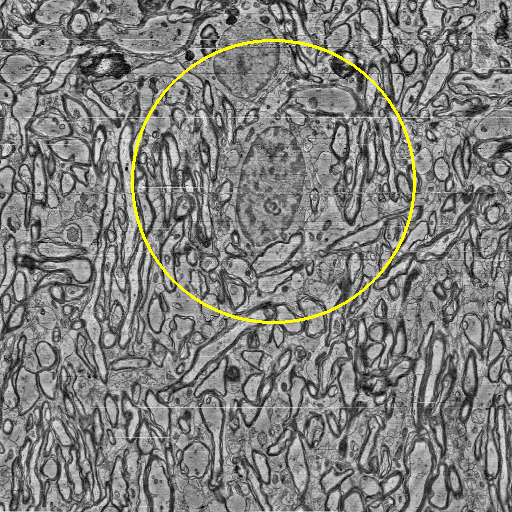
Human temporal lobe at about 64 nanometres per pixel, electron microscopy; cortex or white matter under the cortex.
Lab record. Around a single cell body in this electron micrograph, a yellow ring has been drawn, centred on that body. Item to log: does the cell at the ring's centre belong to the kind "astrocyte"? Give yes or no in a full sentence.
No, in the micrograph, the ringed cell at the centre belongs to a different kind.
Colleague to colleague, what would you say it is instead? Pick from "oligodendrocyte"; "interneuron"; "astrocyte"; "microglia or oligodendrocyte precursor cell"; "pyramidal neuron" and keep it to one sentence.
In this picture, the ring is centred on an oligodendrocyte.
